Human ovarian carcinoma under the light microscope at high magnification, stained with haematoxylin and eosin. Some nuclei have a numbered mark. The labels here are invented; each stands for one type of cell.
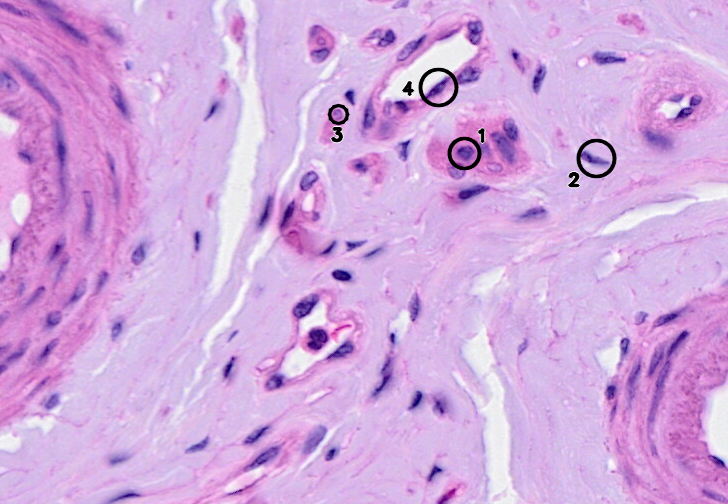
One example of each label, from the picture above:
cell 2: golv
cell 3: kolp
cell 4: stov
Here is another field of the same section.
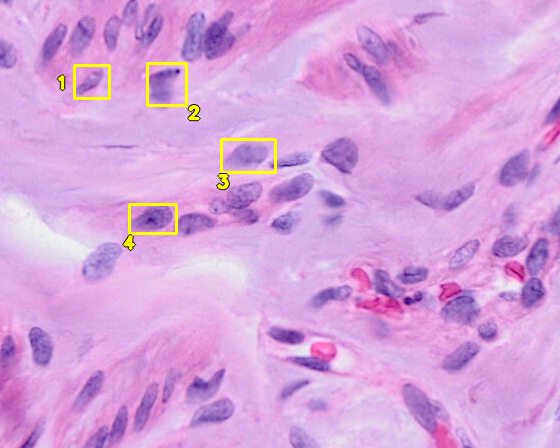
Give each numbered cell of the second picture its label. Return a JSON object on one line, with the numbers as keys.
{"1": "kolp", "2": "golv", "3": "golv", "4": "stov"}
